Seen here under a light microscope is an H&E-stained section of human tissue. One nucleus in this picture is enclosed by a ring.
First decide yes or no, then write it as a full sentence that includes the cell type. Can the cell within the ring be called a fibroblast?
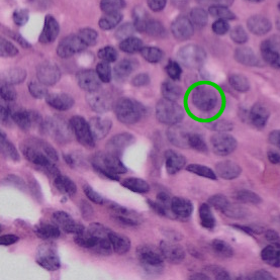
No, that's not it; the cell within the ring is a carcinoma cell rather than a fibroblast.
